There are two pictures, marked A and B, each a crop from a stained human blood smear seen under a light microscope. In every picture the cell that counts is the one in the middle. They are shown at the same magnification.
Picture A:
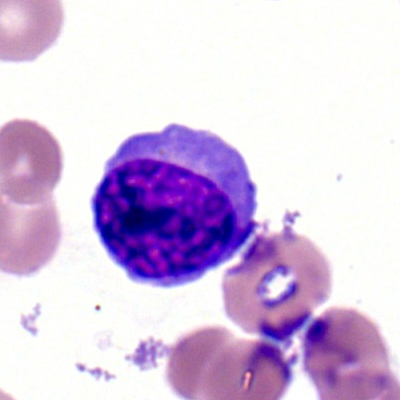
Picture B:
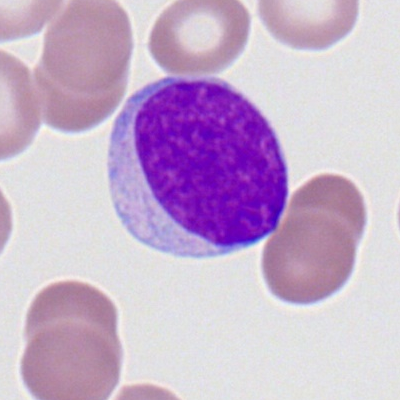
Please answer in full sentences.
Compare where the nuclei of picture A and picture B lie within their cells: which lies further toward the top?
It is the nucleus in picture B that lies further toward the top of its cell.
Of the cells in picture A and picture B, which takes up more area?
The cell in picture B is larger, with about 1.5 times the area of the one in picture A.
